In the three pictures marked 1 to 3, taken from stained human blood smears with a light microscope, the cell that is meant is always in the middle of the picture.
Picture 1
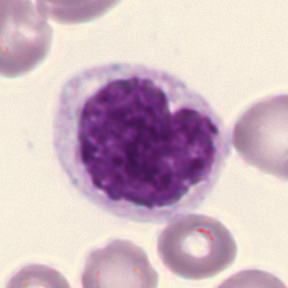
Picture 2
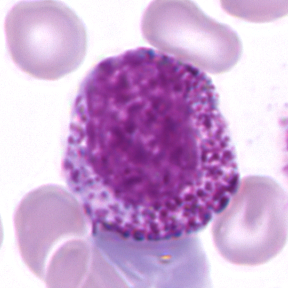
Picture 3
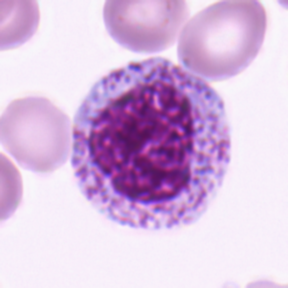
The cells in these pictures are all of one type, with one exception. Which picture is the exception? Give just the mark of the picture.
1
